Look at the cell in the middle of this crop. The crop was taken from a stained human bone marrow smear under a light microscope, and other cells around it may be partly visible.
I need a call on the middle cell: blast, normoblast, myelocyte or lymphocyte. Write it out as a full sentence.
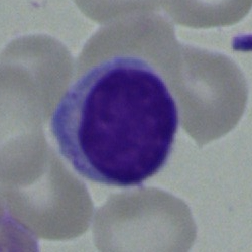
The cell centred in this crop is categorized as a lymphocyte.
